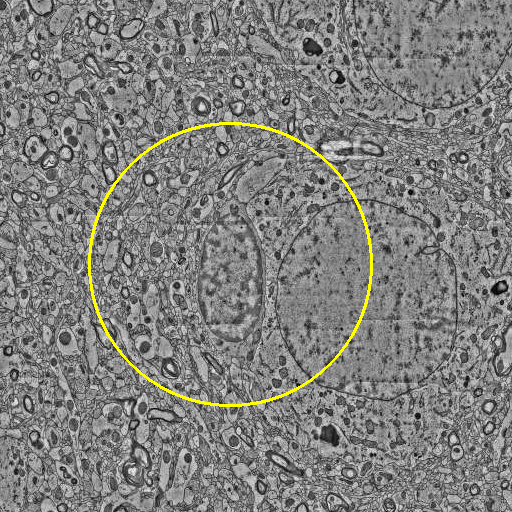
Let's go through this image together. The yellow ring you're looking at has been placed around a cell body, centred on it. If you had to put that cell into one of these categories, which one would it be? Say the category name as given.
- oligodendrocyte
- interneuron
oligodendrocyte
